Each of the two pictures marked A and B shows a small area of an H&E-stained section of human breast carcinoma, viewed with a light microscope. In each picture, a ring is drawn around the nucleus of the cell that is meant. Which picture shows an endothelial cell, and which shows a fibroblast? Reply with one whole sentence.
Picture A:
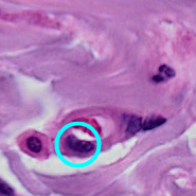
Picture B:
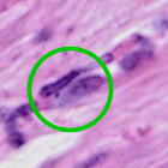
It is picture A that shows an endothelial cell, and picture B that shows a fibroblast.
